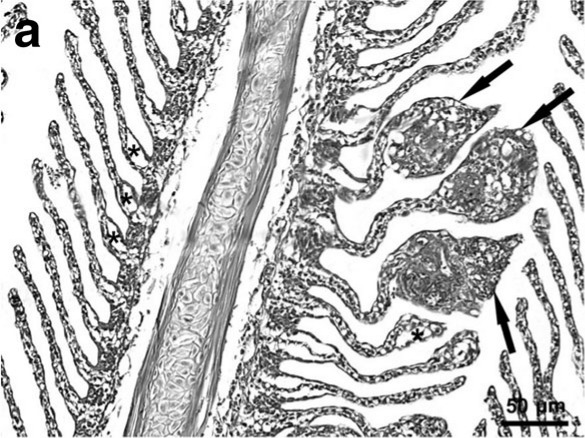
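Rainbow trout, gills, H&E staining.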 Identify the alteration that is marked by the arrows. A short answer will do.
Lamellar aneurysms.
